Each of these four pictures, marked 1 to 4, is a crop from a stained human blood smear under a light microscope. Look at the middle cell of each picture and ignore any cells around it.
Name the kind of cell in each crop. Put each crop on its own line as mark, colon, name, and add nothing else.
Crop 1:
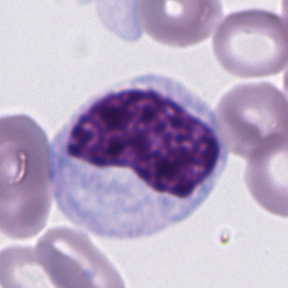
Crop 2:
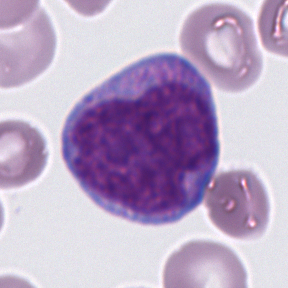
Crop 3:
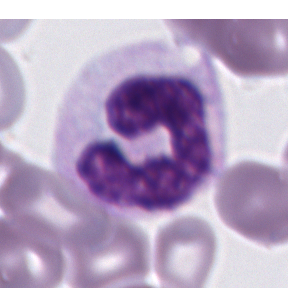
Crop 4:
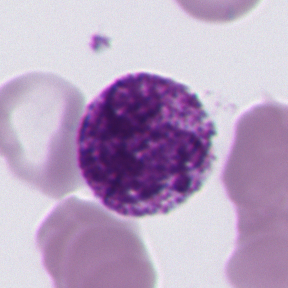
1: metamyelocyte
2: atypical promyelocyte
3: band neutrophil
4: basophil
